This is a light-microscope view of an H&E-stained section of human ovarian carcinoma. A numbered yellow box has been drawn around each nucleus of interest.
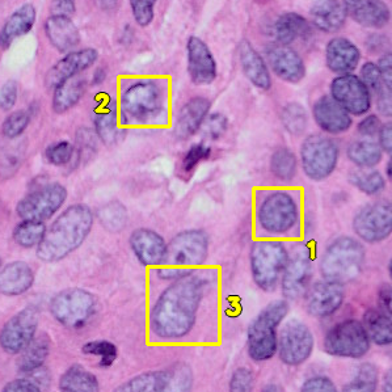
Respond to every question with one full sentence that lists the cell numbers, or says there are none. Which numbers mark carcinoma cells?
Among the cells marked with numbers, the only one that is a carcinoma cell is number 1.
